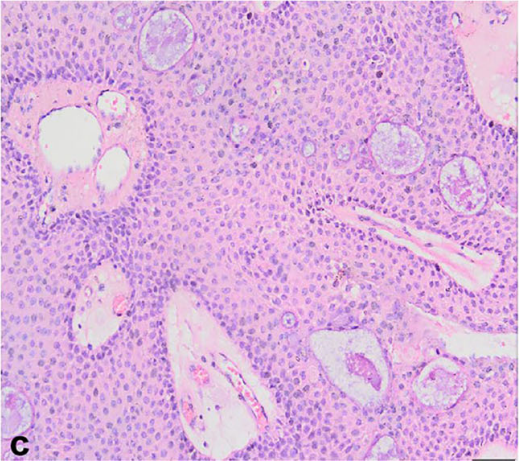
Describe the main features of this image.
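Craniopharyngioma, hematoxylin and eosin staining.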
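This view shows a tumour formed of broad sheets of squamous epithelium. The cells are closely packed and polygonal, with oval purple nuclei and pink cytoplasm, and the sheets are arranged irregularly. Scattered through the epithelium are many round and elongated spaces, some empty and clear, others containing pale or pink granular material. Around several of these spaces the epithelial cells are lined up in a more orderly row at the edge. Some elongated clefts contain pink fibrous-looking material.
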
